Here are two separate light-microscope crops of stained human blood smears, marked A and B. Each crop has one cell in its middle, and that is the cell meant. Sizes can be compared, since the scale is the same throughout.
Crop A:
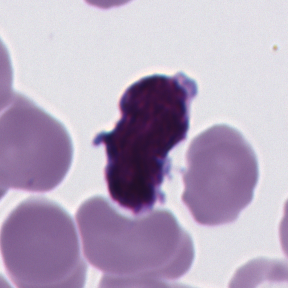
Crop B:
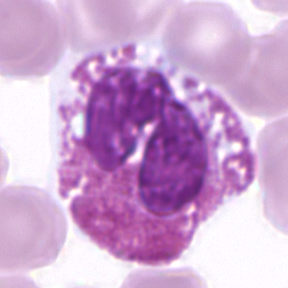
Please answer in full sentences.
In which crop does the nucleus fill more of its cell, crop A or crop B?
In crop A the nucleus takes up the larger part of its cell.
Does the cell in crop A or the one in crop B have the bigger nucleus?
The nucleus in crop B is larger, with about 1.5 times the area of the one in crop A.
